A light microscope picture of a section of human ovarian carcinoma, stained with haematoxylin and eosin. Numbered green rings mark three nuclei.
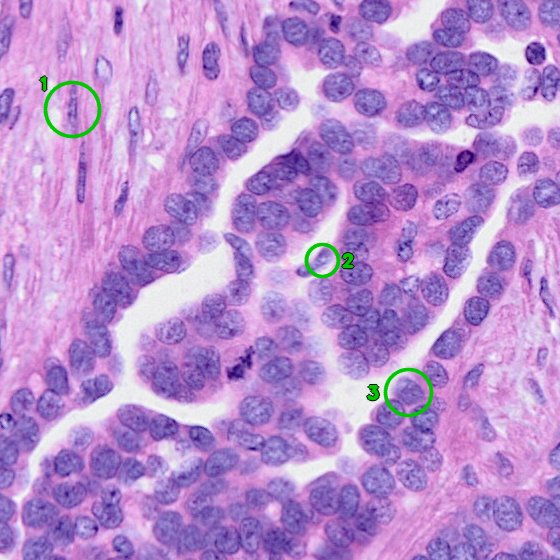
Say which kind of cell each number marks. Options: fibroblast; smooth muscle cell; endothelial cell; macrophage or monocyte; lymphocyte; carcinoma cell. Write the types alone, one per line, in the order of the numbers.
fibroblast
macrophage or monocyte
carcinoma cell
